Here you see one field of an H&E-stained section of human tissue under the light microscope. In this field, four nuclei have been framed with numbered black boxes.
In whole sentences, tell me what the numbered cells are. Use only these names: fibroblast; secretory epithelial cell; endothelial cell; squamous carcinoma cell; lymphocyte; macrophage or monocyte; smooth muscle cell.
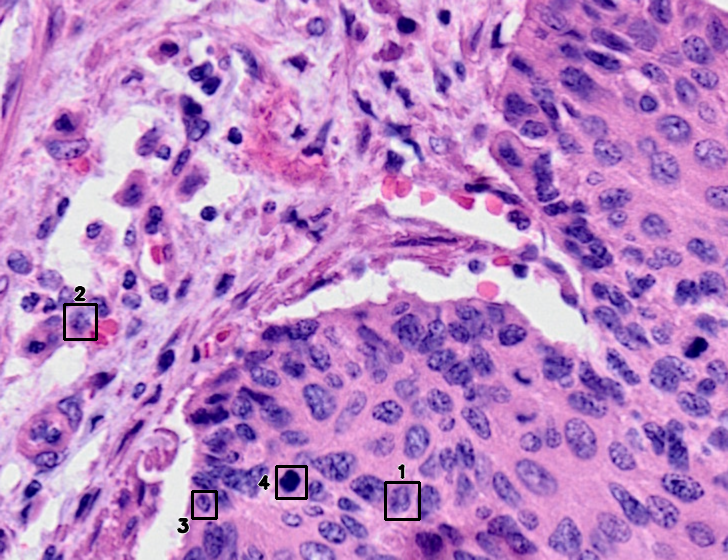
Cell 1 is a squamous carcinoma cell, cell 2 is an endothelial cell, cell 3 is a squamous carcinoma cell and cell 4 is a squamous carcinoma cell.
